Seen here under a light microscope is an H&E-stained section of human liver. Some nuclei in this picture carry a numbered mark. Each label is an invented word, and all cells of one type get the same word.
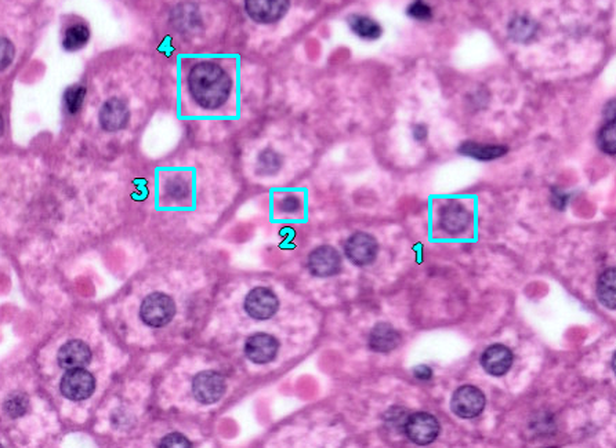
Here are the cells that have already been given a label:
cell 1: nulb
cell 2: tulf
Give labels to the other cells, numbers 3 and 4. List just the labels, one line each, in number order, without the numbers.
nulb
nulb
